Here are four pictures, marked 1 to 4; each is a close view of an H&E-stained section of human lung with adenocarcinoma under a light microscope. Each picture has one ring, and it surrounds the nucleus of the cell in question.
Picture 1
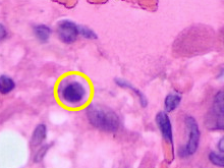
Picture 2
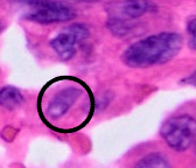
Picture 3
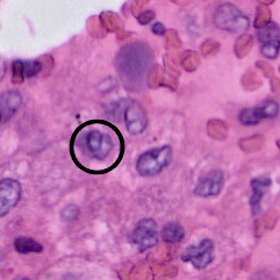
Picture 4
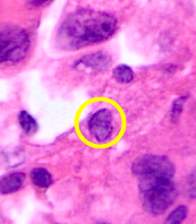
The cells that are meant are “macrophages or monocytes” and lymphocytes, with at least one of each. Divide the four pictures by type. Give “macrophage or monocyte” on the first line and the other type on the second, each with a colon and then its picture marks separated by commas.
macrophage or monocyte: 2, 3, 4
lymphocyte: 1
